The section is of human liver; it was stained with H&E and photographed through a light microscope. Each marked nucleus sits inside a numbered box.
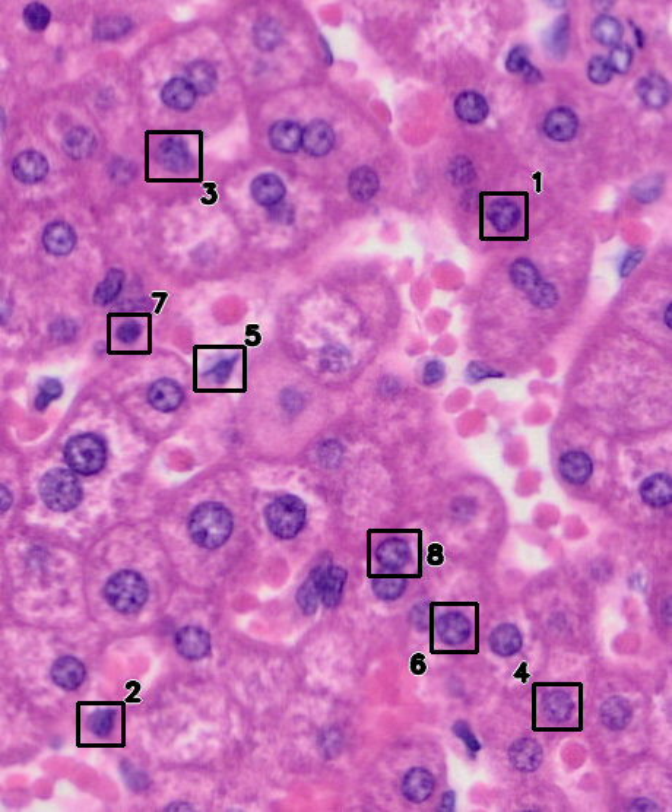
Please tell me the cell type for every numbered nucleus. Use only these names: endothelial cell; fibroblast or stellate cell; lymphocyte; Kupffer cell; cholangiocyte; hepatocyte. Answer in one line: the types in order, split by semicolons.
hepatocyte; fibroblast or stellate cell; endothelial cell; hepatocyte; endothelial cell; hepatocyte; lymphocyte; hepatocyte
